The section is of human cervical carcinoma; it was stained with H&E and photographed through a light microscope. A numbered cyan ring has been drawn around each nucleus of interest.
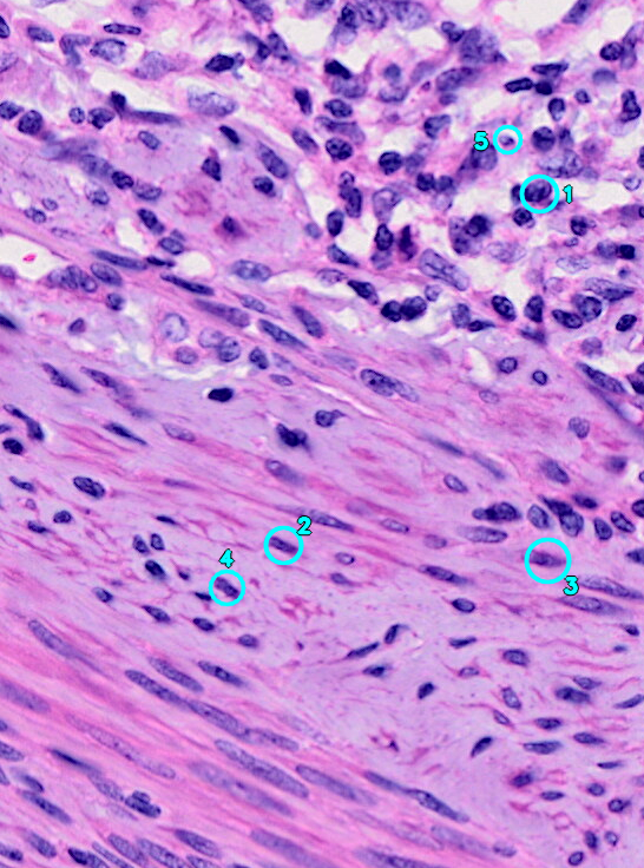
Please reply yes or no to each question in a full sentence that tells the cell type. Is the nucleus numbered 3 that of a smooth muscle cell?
Yes, among the marked cells, the one with number 3 is a smooth muscle cell.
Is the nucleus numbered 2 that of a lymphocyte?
No, the cell under number 2 is a smooth muscle cell instead of a lymphocyte.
